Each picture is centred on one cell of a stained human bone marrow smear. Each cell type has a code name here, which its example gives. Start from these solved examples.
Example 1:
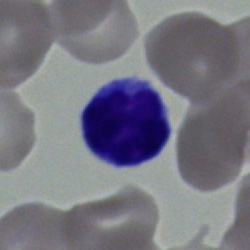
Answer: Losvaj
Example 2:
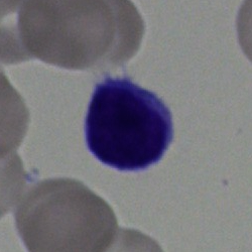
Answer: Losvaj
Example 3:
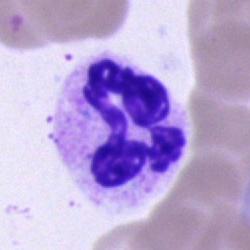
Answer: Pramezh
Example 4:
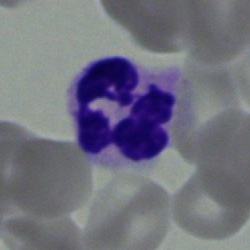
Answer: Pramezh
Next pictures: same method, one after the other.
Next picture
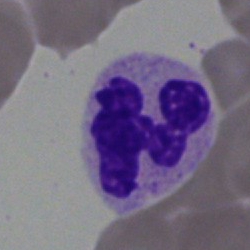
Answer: Pramezh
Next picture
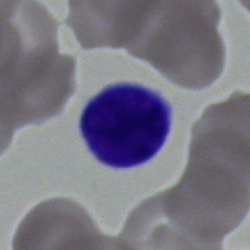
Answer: Losvaj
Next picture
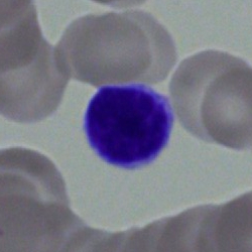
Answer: Losvaj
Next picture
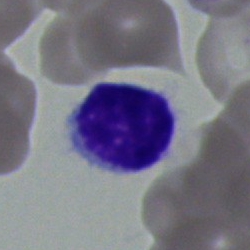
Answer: Losvaj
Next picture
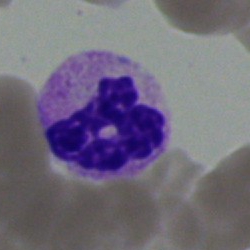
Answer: Pramezh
